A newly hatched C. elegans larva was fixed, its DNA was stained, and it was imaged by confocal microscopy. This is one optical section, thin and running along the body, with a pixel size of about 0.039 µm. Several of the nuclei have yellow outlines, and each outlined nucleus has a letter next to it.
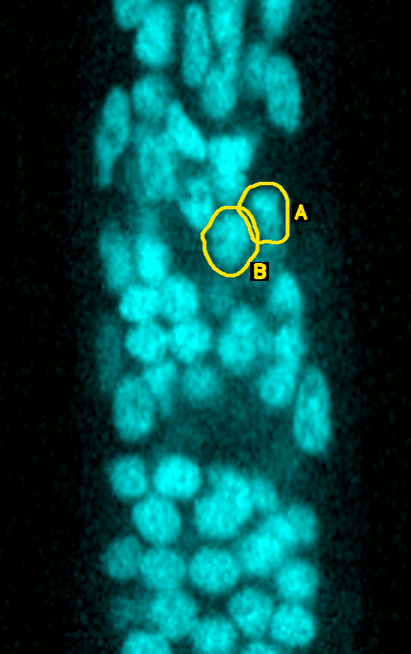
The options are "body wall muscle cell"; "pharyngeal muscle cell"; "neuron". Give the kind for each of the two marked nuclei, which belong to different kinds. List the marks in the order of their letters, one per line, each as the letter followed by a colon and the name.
A: pharyngeal muscle cell
B: neuron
